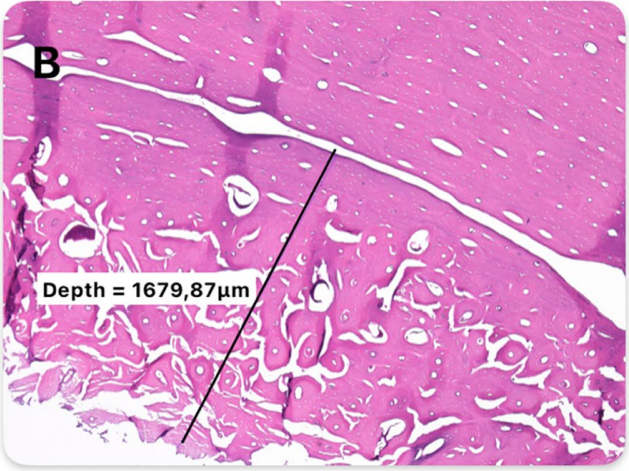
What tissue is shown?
Cortical bone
